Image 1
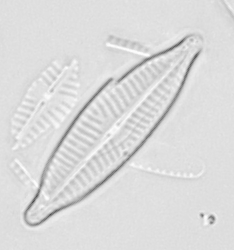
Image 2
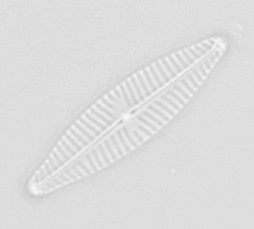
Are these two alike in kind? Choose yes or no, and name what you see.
Yes. Navicula.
